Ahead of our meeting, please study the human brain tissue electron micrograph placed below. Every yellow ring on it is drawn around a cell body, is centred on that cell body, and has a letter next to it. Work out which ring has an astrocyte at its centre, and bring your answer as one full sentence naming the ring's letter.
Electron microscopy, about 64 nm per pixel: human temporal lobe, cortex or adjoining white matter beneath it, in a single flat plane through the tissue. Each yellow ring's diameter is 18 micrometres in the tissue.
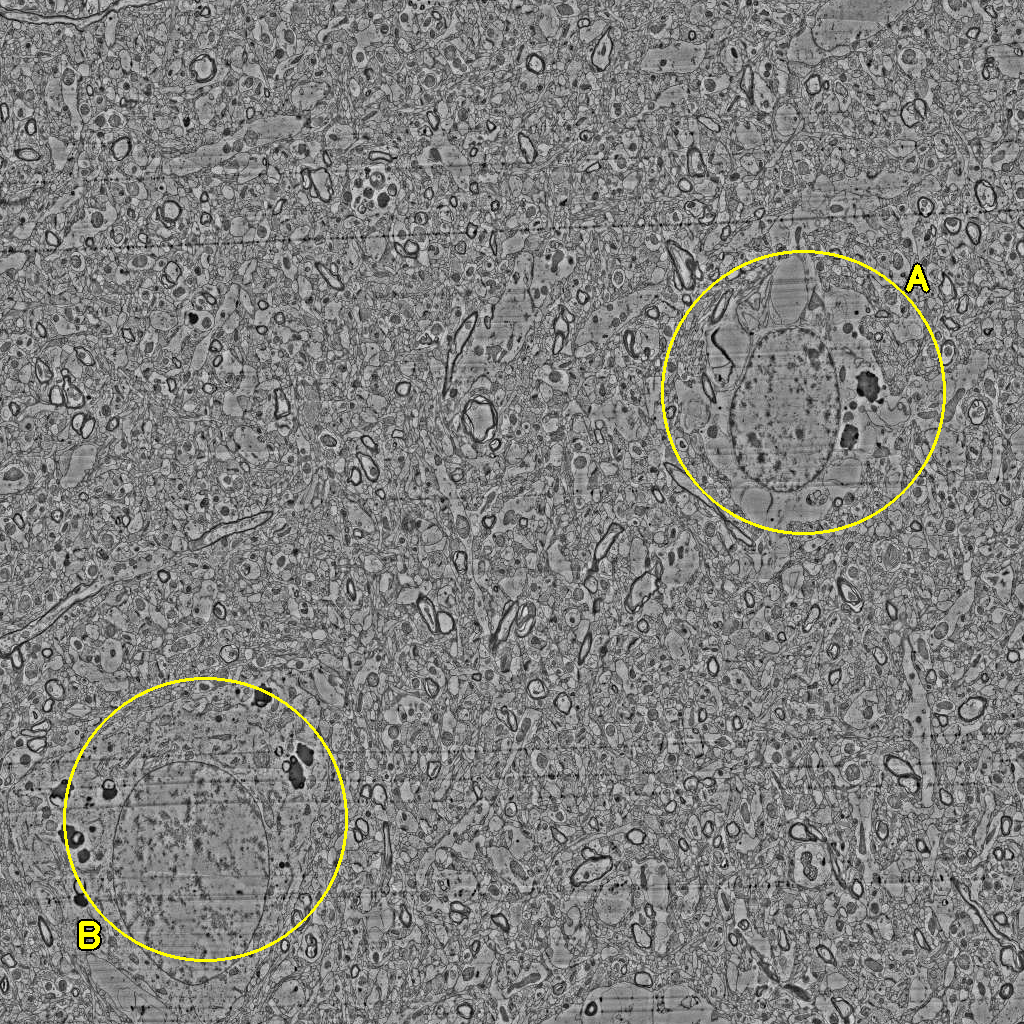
In the micrograph, ring A is the one centred on the cell I was asked to find.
